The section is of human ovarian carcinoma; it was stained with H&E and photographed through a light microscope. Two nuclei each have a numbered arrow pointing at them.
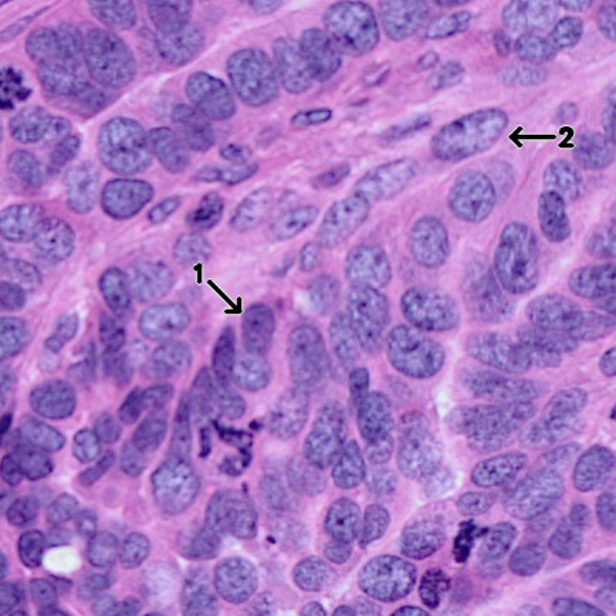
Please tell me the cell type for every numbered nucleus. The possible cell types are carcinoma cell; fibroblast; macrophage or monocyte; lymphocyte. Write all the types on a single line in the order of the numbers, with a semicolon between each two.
carcinoma cell; fibroblast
